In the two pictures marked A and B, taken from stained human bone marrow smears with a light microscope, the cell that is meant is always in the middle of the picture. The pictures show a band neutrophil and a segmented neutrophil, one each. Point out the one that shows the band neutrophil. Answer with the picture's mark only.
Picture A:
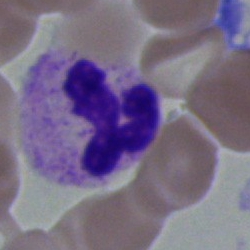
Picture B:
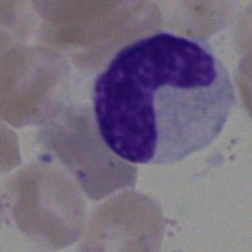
B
